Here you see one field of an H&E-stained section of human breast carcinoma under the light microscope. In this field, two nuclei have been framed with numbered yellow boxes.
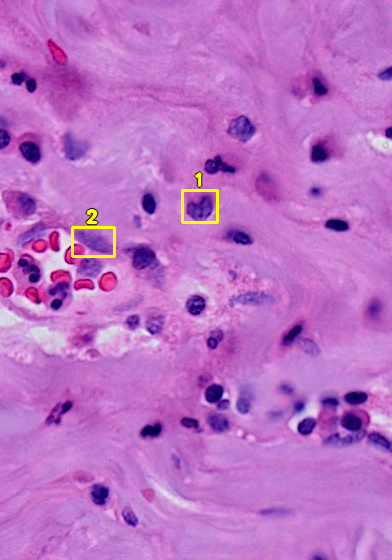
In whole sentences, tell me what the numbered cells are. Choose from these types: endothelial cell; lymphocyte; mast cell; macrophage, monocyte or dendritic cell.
Cell 1 is a macrophage, monocyte or dendritic cell. Cell 2 is an endothelial cell.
